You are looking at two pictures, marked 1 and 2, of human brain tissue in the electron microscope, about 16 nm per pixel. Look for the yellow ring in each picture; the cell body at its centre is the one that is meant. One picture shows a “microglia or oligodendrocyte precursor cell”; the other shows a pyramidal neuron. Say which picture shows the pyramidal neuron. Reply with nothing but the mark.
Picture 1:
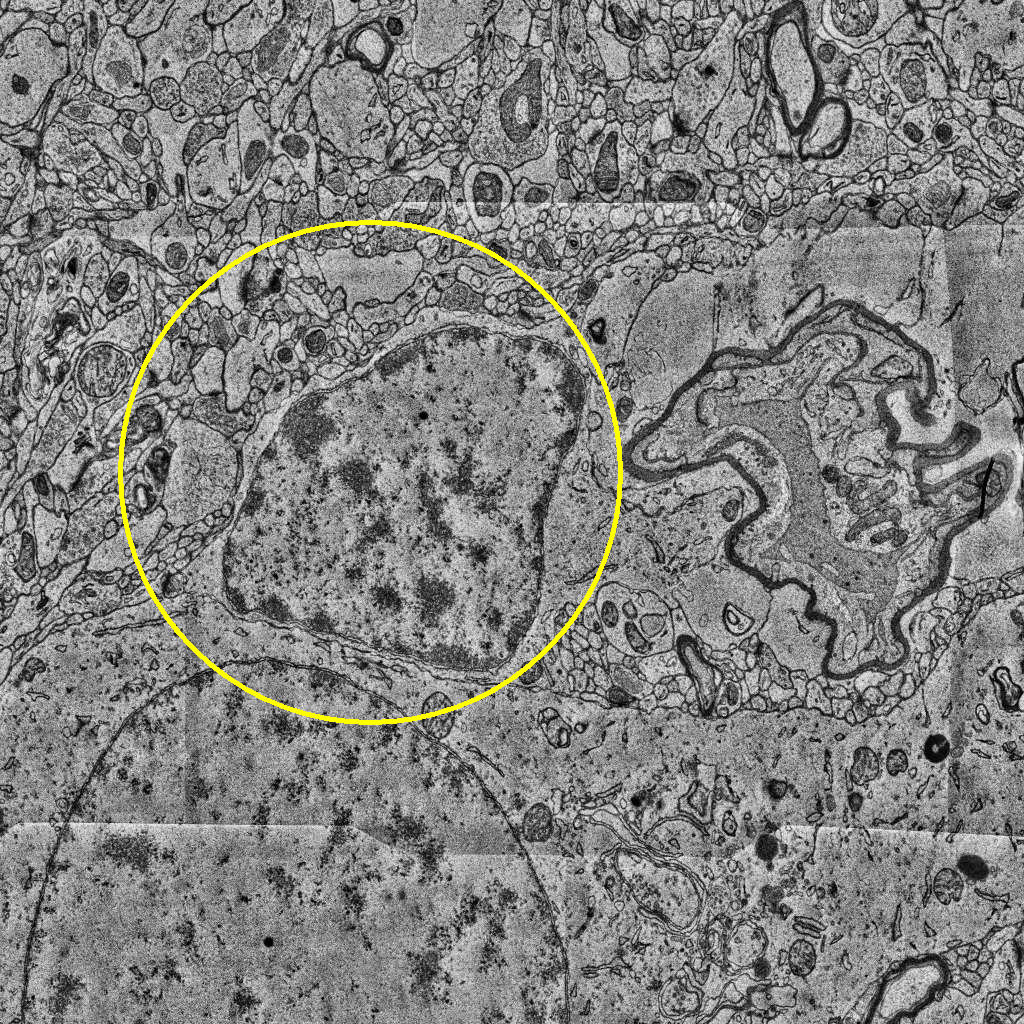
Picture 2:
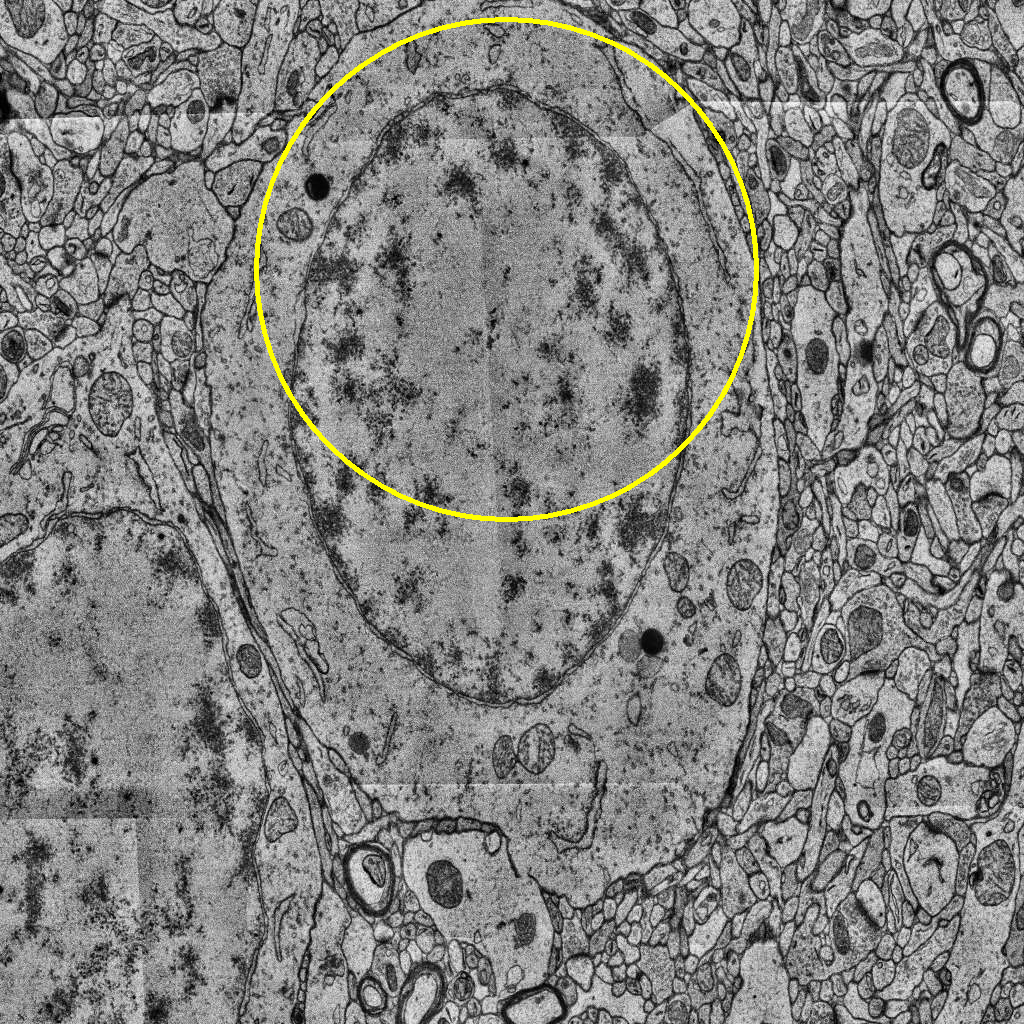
2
